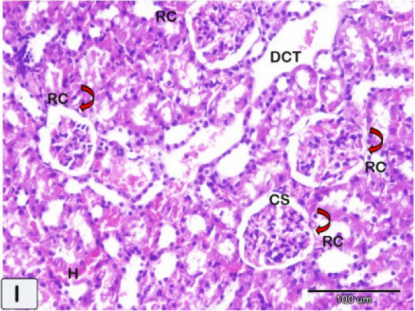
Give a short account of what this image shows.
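This is renal cortex showing several renal corpuscles among closely packed tubules. Each corpuscle has a cellular glomerular tuft with crowded purple nuclei, and between the tuft and the thin capsule lies a pale capsular space that is narrow in places. Around them, tubules lined by cuboidal cells with pink cytoplasm and round nuclei are cut in cross-section, some with wider pale lumens. In the lower left, red blood cells are spread between the tubules outside any vessel.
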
